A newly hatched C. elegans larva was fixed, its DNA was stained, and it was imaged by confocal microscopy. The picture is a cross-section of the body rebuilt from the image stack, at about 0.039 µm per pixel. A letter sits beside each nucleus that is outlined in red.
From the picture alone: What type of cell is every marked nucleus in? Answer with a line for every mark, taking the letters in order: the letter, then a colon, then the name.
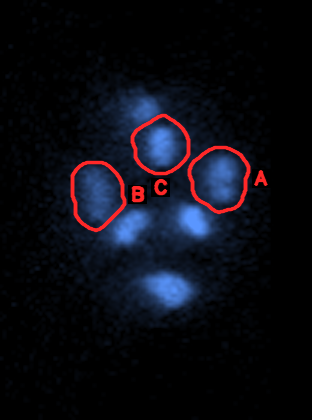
A: hypodermal cell (hyp)
B: hypodermal cell (hyp)
C: pharyngeal muscle cell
